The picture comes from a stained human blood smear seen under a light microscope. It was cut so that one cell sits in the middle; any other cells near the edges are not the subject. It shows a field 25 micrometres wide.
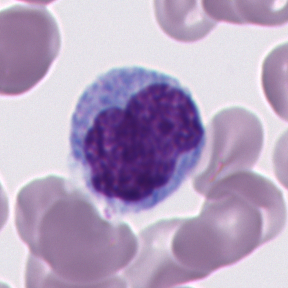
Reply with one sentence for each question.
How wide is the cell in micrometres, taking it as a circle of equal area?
About 12 micrometres: that is the cell's diameter.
